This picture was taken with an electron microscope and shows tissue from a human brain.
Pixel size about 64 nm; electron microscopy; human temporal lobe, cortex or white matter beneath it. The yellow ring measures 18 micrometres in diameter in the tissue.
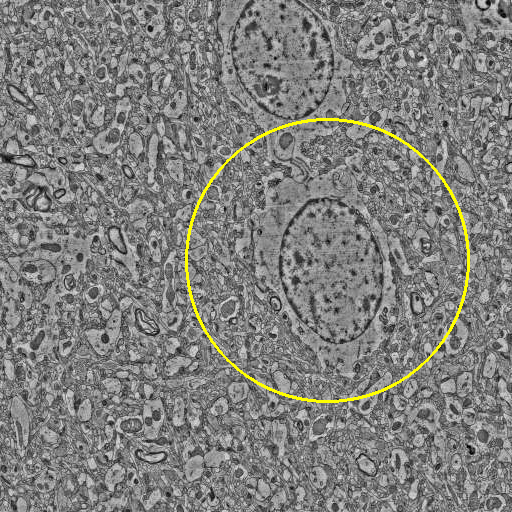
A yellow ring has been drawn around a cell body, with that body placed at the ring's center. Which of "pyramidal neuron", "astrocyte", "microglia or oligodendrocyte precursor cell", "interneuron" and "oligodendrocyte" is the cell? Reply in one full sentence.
In this picture, an astrocyte is the cell at the center of the yellow ring.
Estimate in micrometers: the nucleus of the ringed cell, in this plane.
In this plane the nucleus measures roughly 9 by 7 micrometers.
